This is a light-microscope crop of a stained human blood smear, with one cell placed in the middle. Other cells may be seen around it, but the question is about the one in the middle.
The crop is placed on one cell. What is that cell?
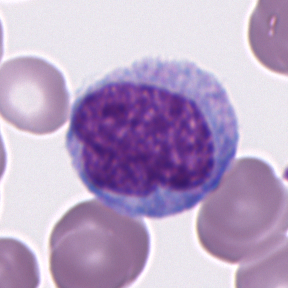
monocyte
